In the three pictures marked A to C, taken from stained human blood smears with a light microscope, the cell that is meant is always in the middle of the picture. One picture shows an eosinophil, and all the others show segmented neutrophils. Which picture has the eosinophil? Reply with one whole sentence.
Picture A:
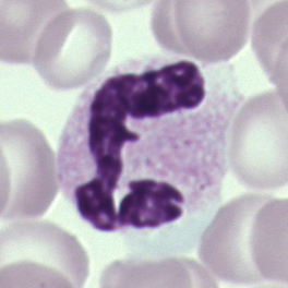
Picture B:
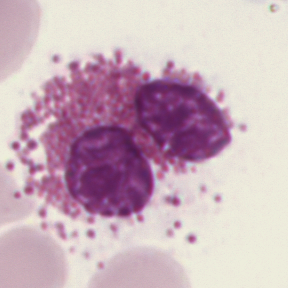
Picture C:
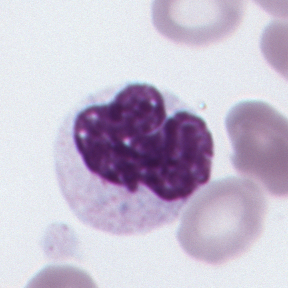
Picture B is the one that shows the eosinophil.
